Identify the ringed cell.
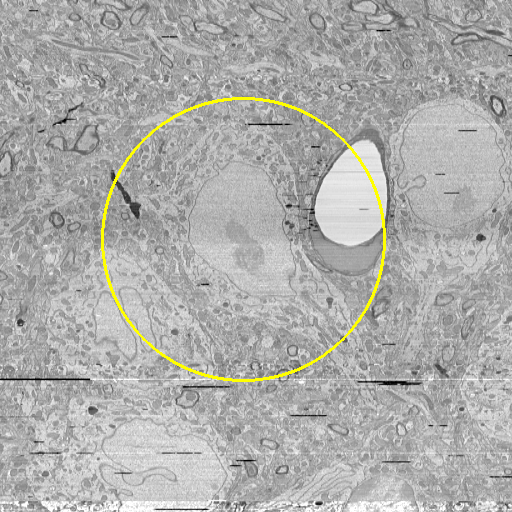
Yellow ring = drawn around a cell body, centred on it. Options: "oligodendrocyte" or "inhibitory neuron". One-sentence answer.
What the ring is centred on is an inhibitory neuron.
